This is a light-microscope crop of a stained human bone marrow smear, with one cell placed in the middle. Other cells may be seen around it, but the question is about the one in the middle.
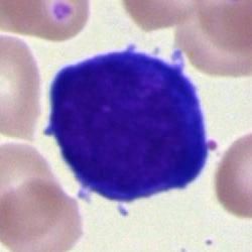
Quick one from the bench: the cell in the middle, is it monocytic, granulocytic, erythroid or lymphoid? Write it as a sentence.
Lineage assignment for the central cell is erythroid.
